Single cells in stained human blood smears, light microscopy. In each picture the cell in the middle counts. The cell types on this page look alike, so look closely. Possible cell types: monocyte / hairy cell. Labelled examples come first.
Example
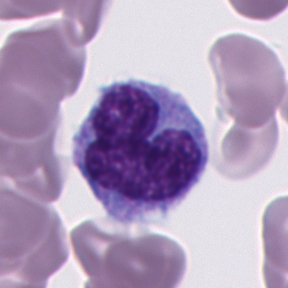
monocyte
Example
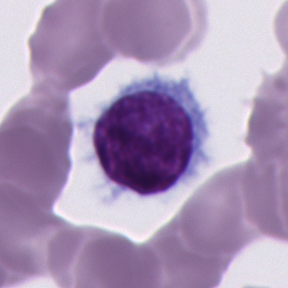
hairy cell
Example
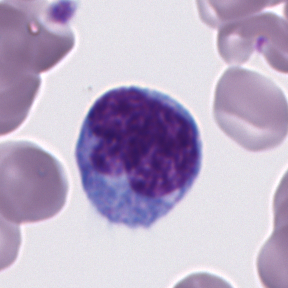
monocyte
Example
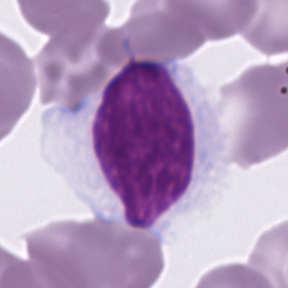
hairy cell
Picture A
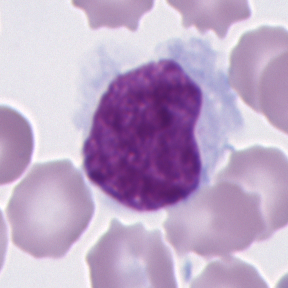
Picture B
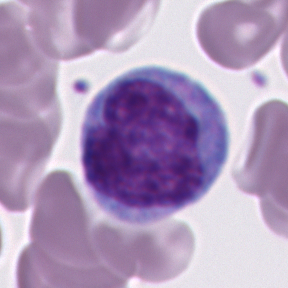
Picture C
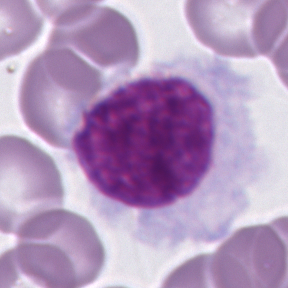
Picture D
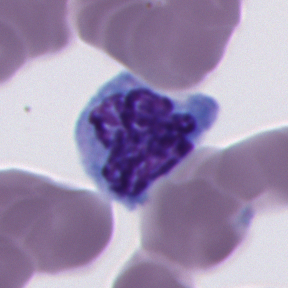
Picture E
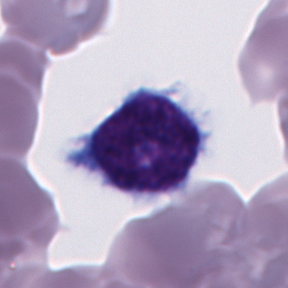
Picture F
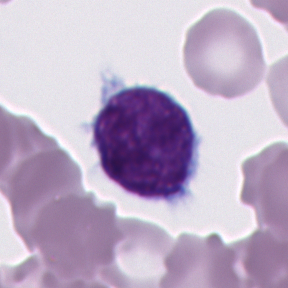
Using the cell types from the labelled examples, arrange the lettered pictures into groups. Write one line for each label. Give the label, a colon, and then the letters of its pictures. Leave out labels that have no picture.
monocyte: B, D
hairy cell: A, C, E, F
